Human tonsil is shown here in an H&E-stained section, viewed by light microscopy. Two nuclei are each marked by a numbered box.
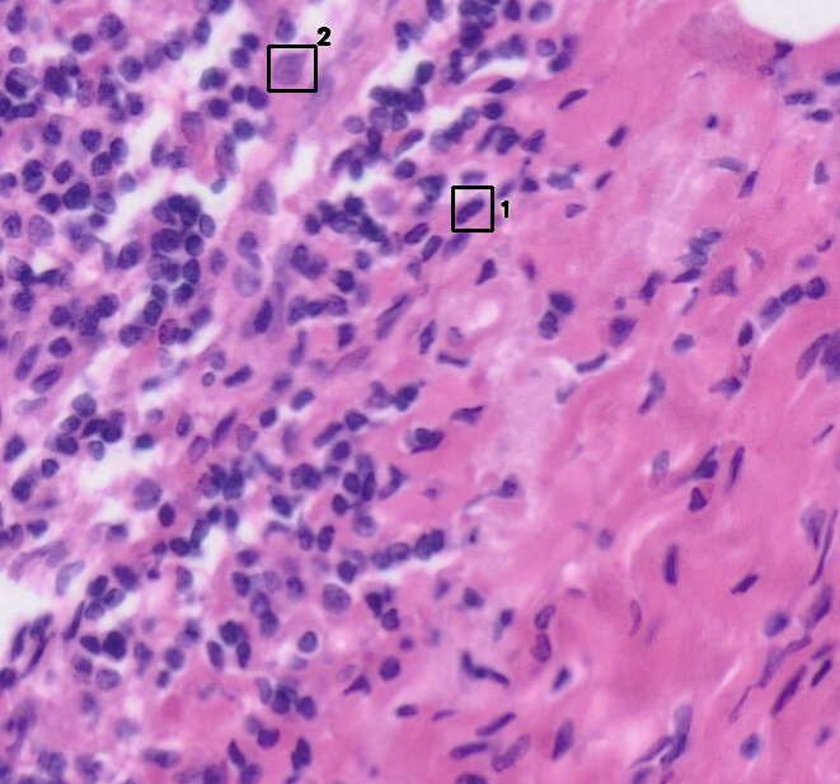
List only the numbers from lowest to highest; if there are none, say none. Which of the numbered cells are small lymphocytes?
none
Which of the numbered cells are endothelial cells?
2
